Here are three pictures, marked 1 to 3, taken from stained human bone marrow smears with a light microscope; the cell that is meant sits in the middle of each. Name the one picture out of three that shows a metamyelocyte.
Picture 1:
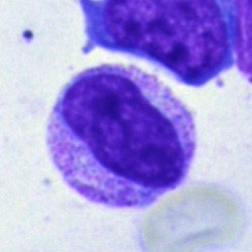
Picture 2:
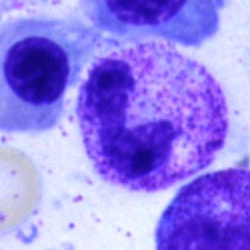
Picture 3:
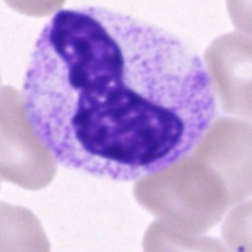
1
